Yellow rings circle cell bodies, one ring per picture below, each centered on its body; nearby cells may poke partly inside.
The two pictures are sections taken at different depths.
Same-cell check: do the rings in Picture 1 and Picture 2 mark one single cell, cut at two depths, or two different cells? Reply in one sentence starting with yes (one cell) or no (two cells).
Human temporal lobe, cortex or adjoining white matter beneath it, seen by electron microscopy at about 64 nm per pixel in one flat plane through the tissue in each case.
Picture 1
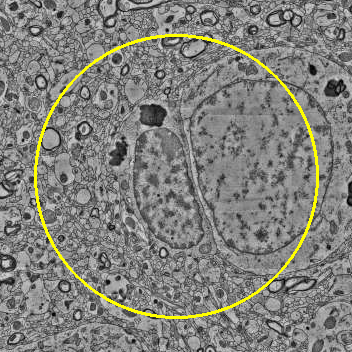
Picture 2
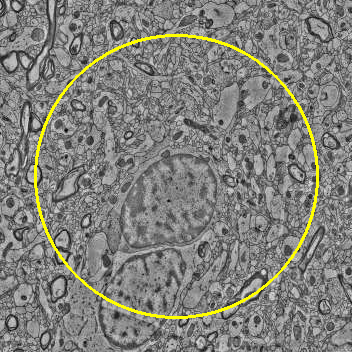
No, the two yellow rings each circle a different cell.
